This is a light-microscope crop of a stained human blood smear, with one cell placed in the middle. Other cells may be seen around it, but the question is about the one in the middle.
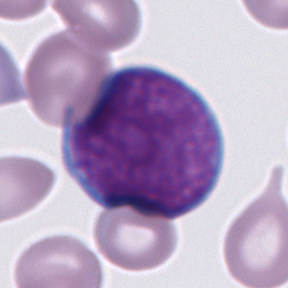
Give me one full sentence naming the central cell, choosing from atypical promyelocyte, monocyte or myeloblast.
The cell found in the middle of this crop is a myeloblast.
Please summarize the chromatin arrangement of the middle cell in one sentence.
What stands out is fine chromatin lacking any coarse clumps.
